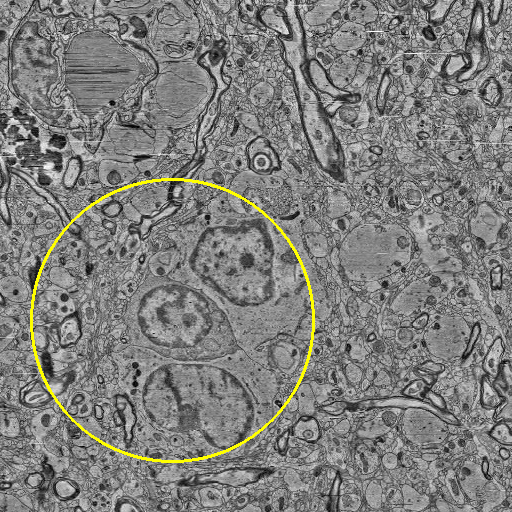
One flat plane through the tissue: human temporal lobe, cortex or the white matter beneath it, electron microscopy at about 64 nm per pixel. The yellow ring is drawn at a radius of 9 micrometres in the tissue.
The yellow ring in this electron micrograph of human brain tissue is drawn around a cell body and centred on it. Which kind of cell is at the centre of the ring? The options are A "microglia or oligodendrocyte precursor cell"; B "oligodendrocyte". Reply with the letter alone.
B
